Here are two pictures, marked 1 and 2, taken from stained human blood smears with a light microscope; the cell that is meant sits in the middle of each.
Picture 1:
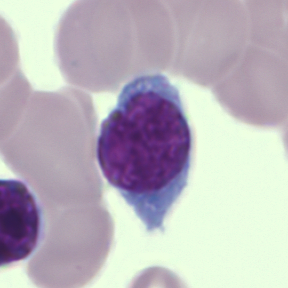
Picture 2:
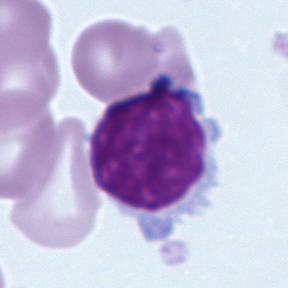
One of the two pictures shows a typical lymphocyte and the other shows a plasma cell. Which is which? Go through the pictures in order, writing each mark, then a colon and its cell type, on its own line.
1: plasma cell
2: typical lymphocyte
